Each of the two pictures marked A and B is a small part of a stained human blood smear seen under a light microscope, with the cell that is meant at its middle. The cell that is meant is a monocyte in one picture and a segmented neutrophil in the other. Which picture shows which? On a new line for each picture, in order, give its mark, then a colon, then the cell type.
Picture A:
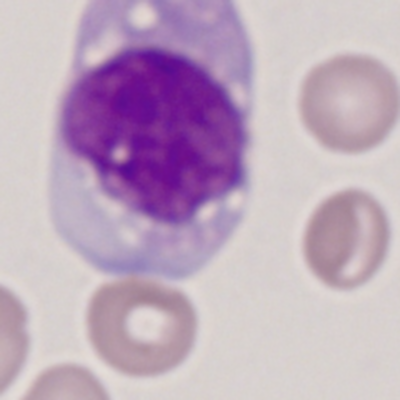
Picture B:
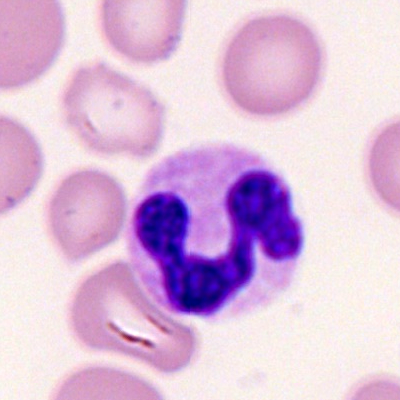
A: monocyte
B: segmented neutrophil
